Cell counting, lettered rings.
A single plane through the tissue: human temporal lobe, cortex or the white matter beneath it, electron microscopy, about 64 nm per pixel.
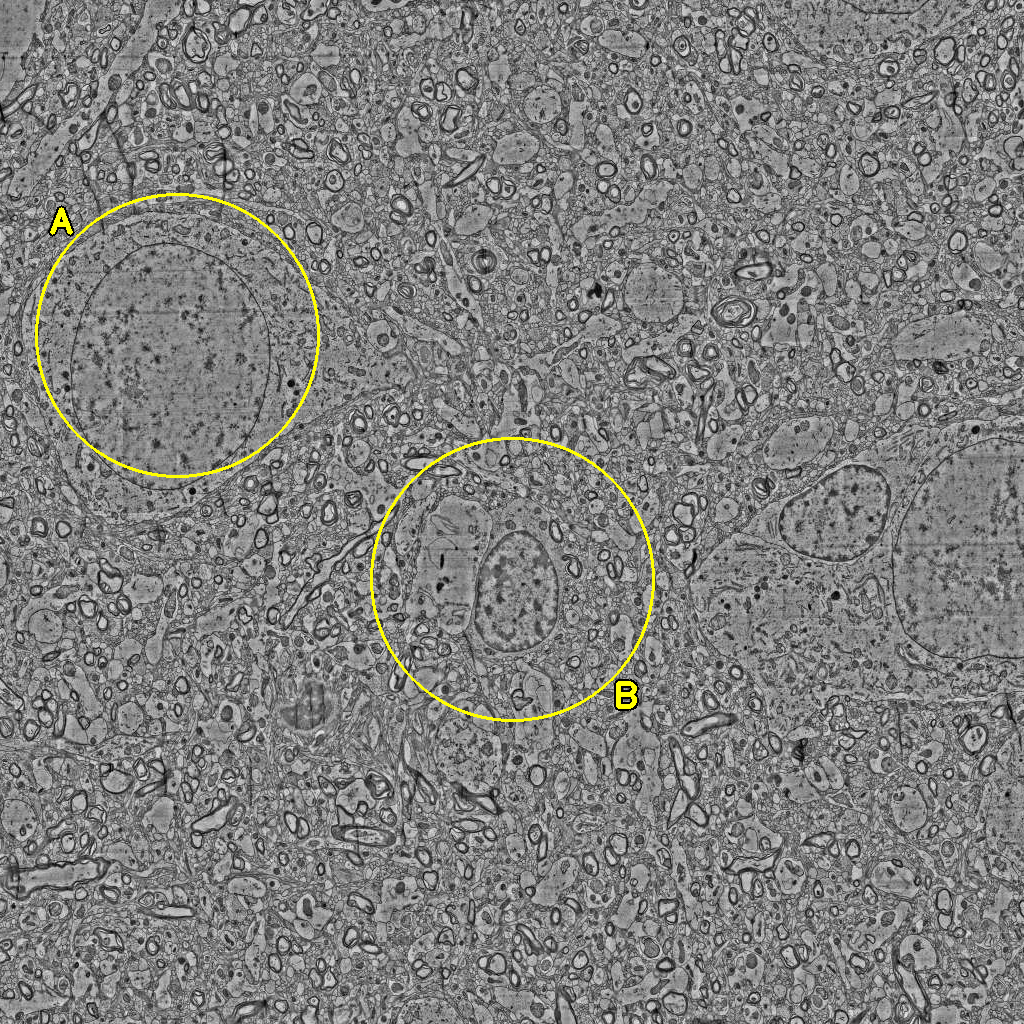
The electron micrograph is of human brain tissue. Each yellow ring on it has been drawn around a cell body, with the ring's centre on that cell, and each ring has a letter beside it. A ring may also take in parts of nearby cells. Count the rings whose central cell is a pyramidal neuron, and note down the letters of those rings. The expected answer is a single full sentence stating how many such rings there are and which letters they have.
Only one ring takes a pyramidal neuron as its centre, and the letter A sits beside it.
